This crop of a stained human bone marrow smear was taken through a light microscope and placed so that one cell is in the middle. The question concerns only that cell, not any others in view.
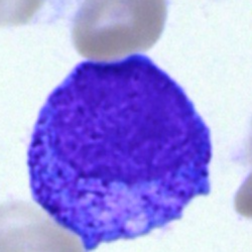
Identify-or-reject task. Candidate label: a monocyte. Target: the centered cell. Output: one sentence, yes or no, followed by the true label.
No, this one is a promyelocyte; it is not a monocyte.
